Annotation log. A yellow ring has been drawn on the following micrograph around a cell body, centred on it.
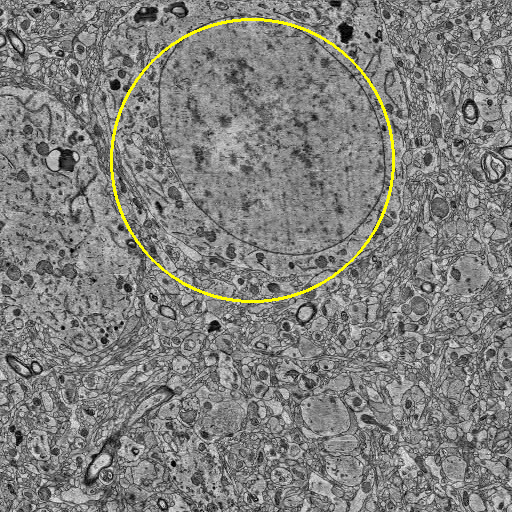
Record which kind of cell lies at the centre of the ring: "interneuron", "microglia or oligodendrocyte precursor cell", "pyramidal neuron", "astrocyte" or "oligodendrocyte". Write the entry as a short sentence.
The cell the ring is centred on is a pyramidal neuron.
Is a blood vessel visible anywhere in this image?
No, the image shows no blood vessel.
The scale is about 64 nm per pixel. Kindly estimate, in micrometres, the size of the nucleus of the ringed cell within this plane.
The ringed cell's nucleus is about 17 micrometres long and 13 micrometres wide in this plane.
